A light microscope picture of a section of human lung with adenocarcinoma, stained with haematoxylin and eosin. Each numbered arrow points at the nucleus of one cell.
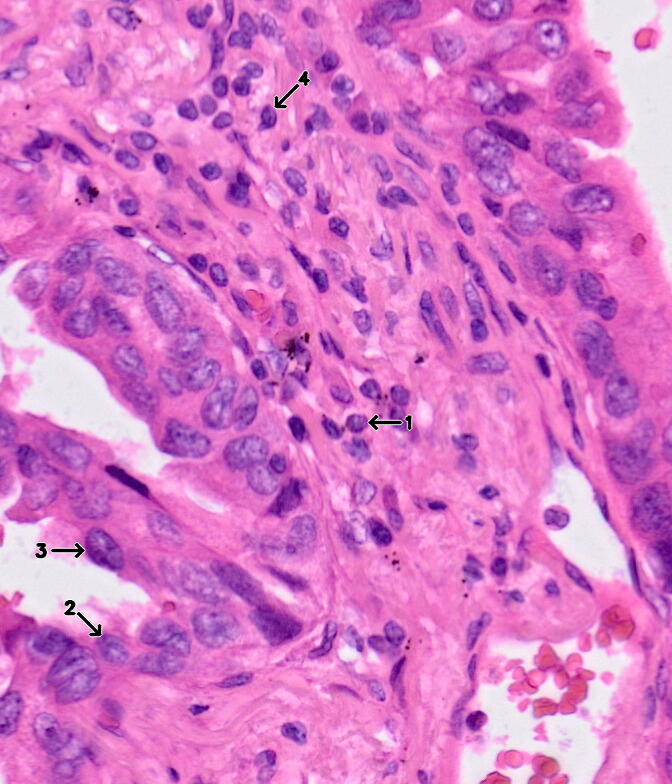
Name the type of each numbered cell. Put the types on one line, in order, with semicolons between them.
lymphocyte; carcinoma cell; carcinoma cell; lymphocyte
